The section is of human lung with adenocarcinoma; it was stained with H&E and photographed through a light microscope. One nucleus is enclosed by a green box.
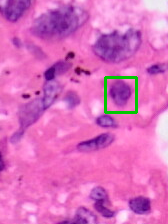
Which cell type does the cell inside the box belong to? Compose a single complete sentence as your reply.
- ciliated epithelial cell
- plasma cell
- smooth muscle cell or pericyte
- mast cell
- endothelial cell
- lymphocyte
As to its cell type, the cell inside the box is a plasma cell.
